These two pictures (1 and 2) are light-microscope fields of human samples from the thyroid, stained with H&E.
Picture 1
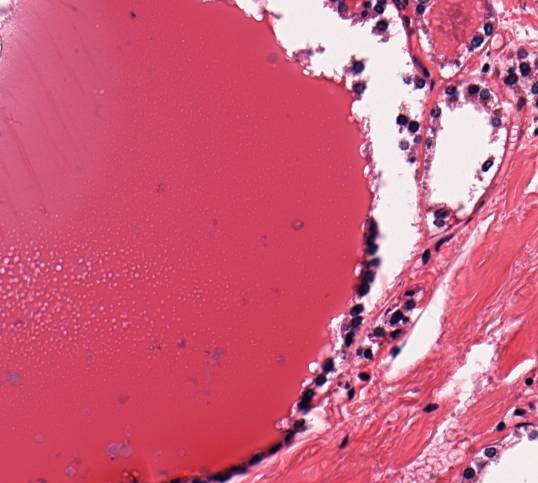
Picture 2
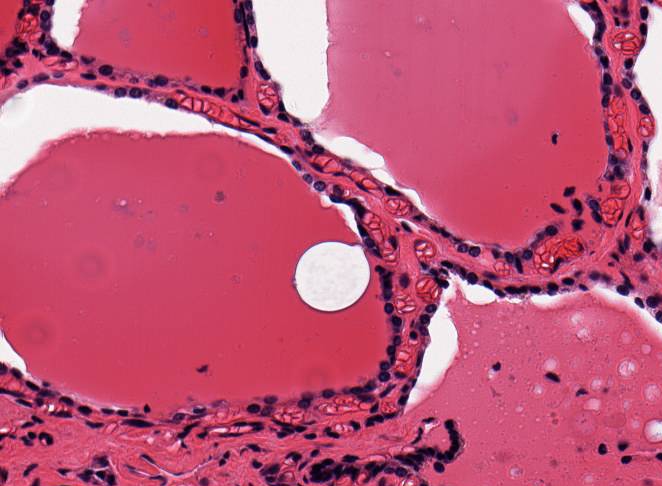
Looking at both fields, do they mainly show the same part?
yes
